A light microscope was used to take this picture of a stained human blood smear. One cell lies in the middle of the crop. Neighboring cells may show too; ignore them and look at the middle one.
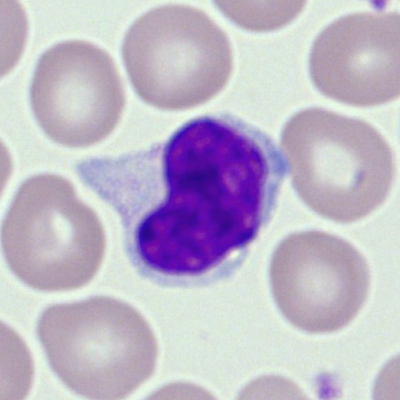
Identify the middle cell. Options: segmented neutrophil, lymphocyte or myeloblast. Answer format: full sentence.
Located at the centre of the crop is a lymphocyte.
